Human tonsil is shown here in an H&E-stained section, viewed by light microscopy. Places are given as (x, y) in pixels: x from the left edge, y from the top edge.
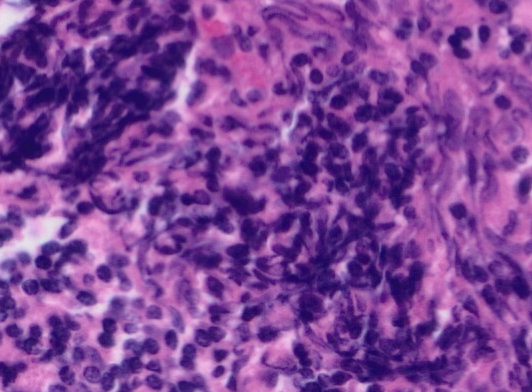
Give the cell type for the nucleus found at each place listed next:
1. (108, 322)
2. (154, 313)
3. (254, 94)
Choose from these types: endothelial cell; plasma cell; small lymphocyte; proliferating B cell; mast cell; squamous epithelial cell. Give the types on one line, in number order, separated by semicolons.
small lymphocyte; small lymphocyte; endothelial cell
